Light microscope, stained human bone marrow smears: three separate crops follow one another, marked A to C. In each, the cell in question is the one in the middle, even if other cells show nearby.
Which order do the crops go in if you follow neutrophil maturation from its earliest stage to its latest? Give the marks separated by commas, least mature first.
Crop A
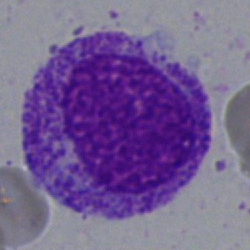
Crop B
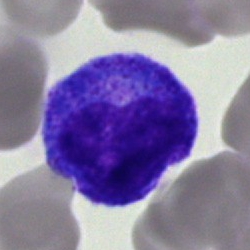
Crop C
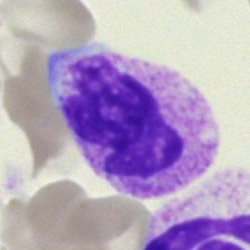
B, A, C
